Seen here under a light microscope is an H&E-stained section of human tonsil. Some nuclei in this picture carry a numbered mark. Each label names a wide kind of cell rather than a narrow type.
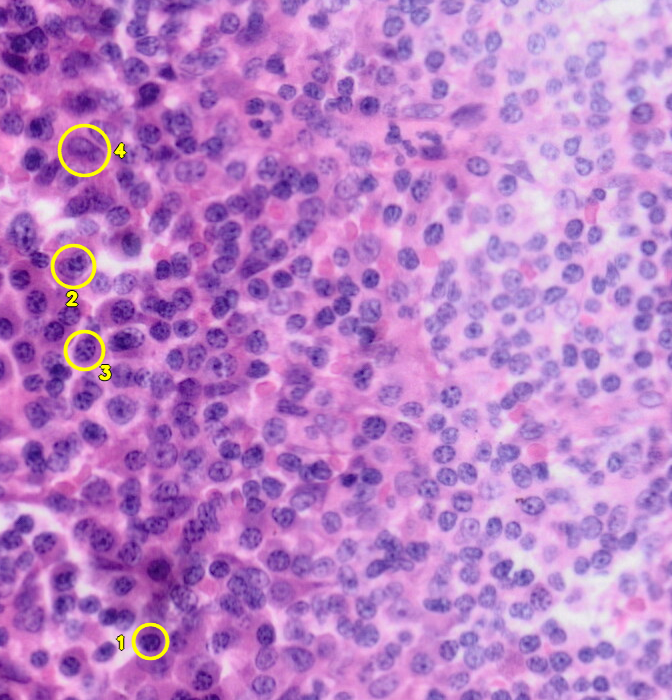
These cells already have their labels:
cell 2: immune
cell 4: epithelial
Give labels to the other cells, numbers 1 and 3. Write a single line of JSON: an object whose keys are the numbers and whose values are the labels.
{"1": "immune", "3": "immune"}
